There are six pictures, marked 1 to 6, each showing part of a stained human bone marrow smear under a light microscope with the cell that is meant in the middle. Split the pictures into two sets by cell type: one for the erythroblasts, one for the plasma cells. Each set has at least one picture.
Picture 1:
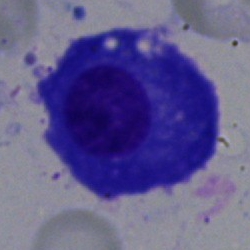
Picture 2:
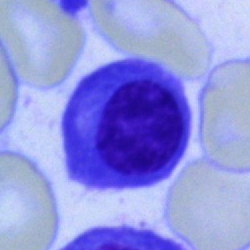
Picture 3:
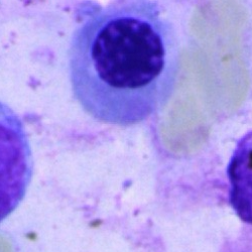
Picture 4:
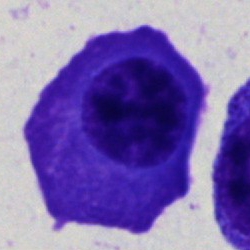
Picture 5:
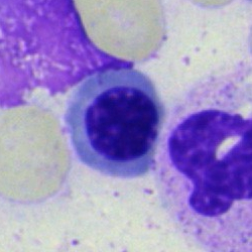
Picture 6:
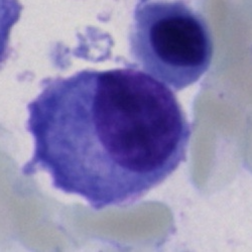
1: plasma cell
2: plasma cell
3: erythroblast
4: plasma cell
5: erythroblast
6: plasma cell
